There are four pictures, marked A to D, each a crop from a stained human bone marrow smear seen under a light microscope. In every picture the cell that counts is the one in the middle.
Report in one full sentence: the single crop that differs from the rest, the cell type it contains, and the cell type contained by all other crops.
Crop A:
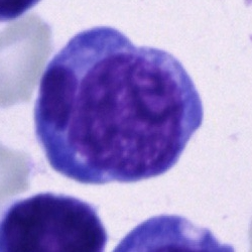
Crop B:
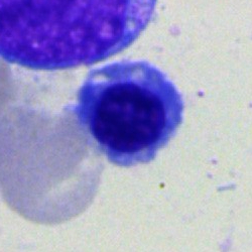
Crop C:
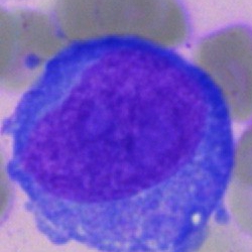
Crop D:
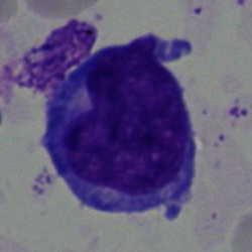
The crop that differs is crop B, showing an erythroblast; the others show blasts.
